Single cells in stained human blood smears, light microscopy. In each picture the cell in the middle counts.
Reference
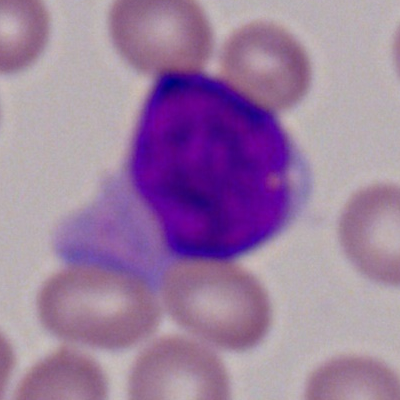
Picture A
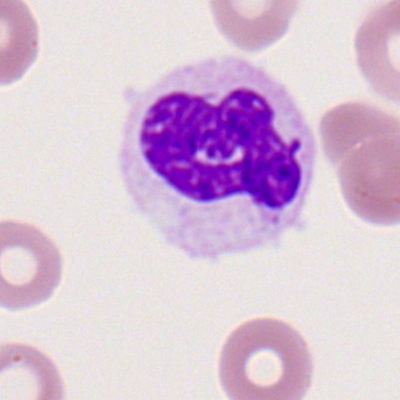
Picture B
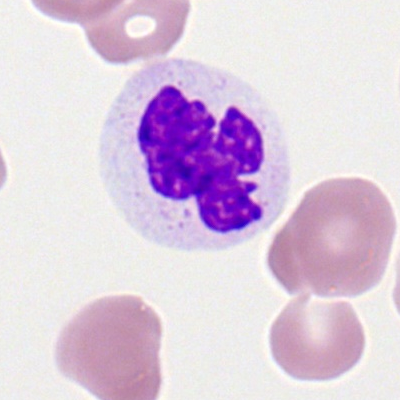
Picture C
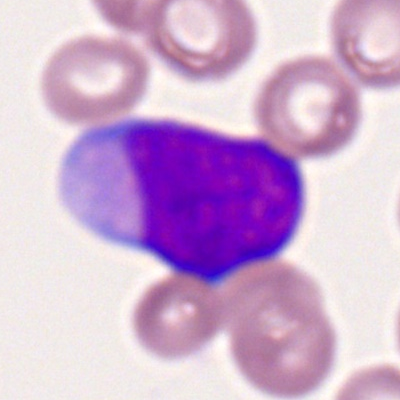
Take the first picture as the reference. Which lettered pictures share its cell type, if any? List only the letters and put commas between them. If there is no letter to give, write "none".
C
